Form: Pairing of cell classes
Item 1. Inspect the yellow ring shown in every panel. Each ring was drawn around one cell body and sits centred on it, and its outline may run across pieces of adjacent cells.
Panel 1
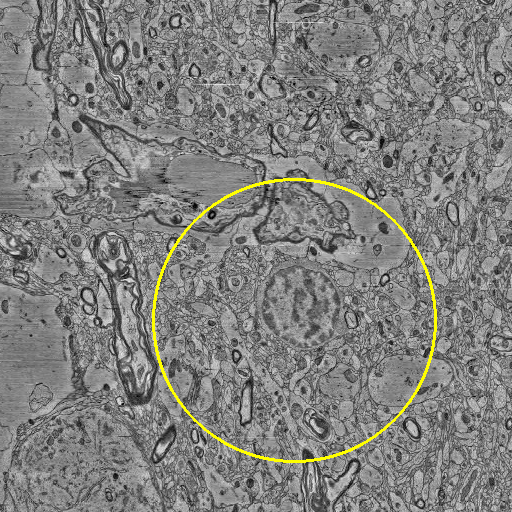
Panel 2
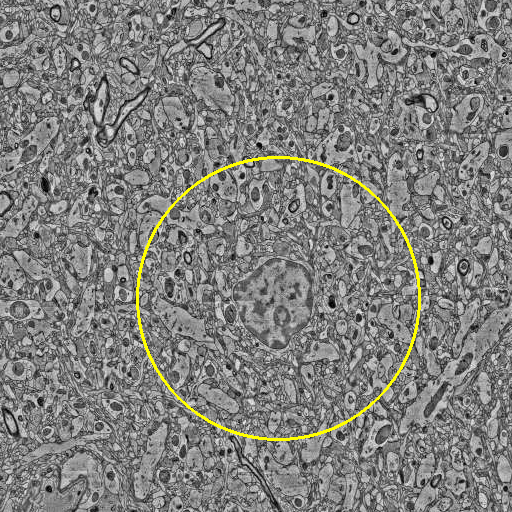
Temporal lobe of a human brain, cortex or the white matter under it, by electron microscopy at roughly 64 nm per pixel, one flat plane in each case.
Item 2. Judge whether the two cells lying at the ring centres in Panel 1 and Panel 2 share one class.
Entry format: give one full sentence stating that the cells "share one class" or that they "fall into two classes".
The cells at the ring centres in Panel 1 and Panel 2 fall into two classes.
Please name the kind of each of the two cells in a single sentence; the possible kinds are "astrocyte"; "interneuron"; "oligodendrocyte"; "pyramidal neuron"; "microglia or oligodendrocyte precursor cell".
In the first picture the ring is centred on an oligodendrocyte, and in the second on a microglial cell or oligodendrocyte precursor cell.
